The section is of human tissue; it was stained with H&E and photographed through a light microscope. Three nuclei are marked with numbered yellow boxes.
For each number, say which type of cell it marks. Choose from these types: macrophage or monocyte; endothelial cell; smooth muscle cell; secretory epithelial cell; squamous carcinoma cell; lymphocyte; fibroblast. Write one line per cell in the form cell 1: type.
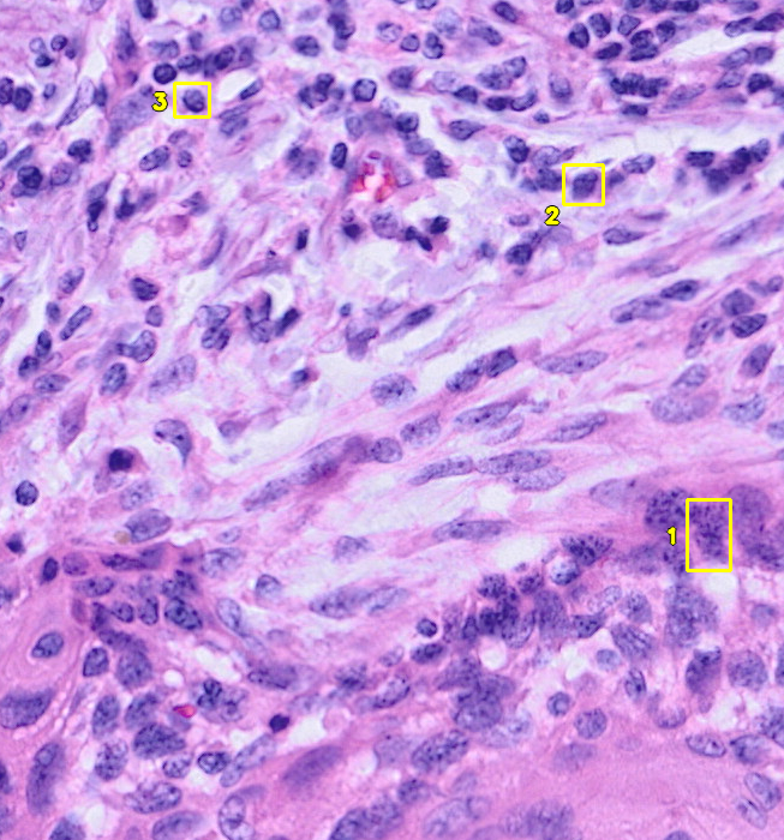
cell 1: squamous carcinoma cell
cell 2: lymphocyte
cell 3: lymphocyte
